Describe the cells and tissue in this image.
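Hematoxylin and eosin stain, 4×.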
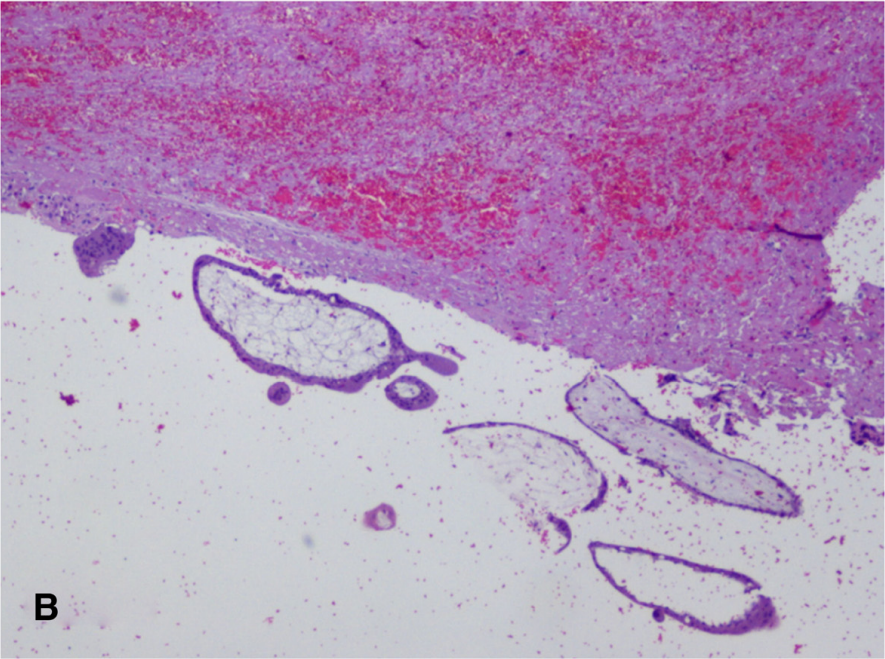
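Chorial villi lie free in the lower half, rounded and elongated, with loose, pale, edematous stroma and a thin purple covering layer with small knob-like thickenings. Above them is a broad band of fibrinohemorrhagic material, pale pink-purple amorphous fibrin mixed with red blood cells and few nuclei.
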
